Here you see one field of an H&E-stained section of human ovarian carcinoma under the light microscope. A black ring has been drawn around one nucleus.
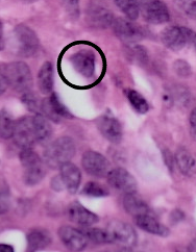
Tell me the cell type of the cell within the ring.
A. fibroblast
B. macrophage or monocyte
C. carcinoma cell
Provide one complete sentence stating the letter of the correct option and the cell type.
Option B is correct in that the cell within the ring is a macrophage or monocyte.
